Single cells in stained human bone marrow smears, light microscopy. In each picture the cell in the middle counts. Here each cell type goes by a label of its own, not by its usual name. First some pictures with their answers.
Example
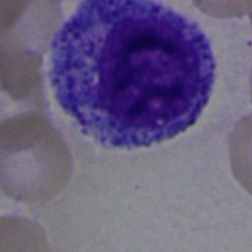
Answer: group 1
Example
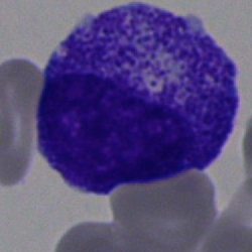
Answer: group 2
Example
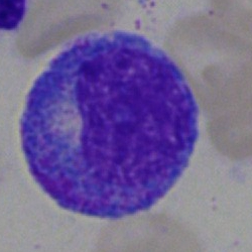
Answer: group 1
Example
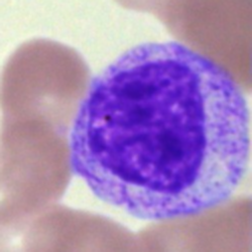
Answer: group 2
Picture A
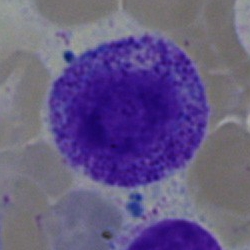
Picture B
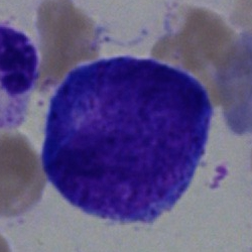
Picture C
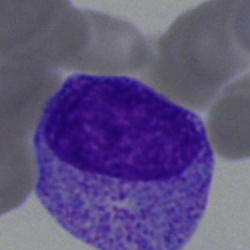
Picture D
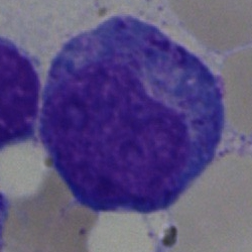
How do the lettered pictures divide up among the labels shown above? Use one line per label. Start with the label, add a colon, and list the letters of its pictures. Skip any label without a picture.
group 1: B, C, D
group 2: A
